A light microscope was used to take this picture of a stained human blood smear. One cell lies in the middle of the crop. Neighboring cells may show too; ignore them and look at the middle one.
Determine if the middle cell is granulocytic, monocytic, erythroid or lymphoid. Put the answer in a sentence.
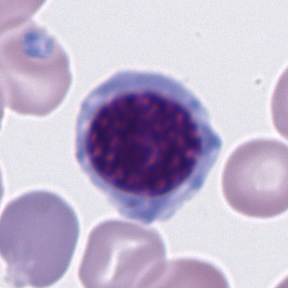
By lineage, the cell in the middle of the crop is erythroid.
